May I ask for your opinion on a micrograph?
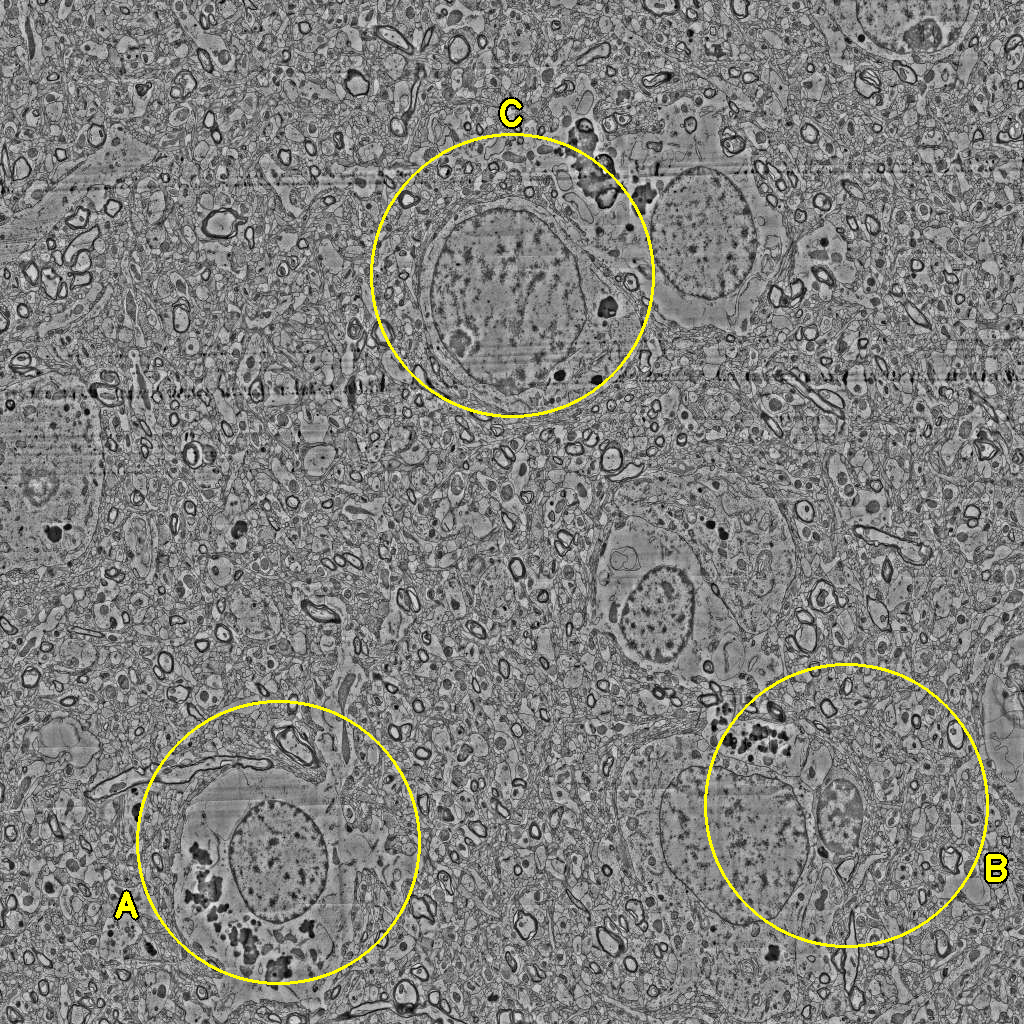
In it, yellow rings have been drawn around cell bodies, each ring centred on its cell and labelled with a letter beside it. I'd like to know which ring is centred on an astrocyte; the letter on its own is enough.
A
